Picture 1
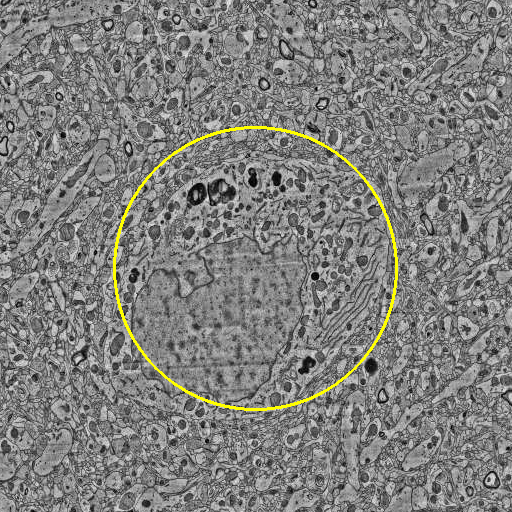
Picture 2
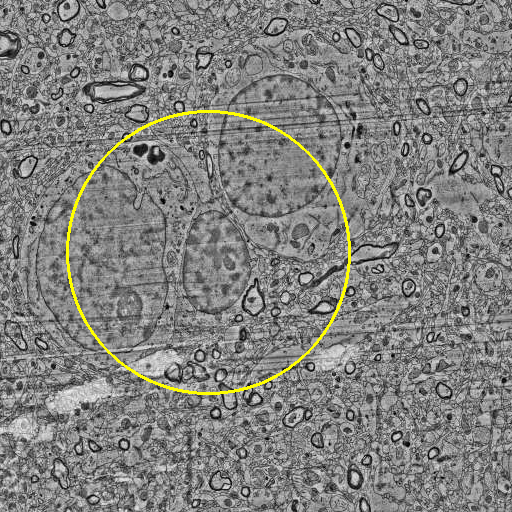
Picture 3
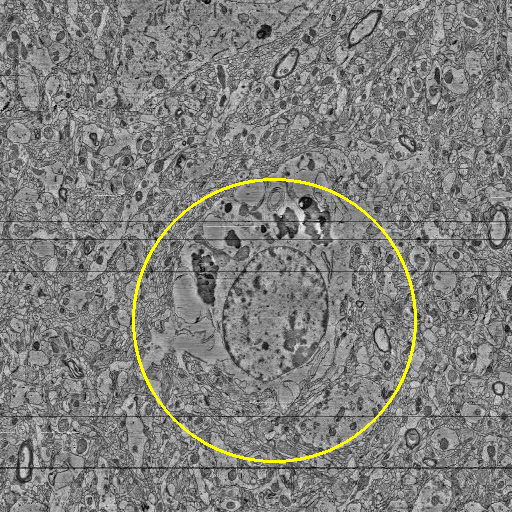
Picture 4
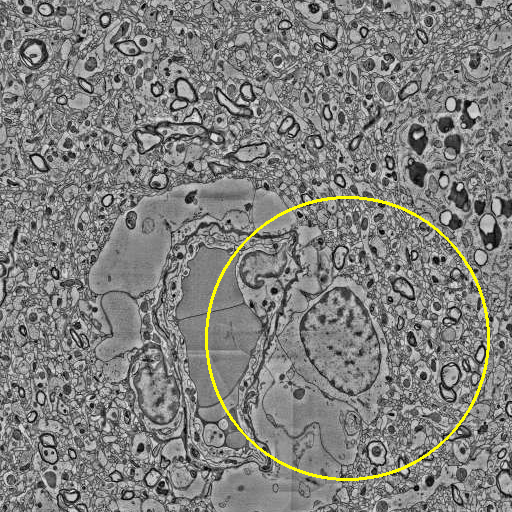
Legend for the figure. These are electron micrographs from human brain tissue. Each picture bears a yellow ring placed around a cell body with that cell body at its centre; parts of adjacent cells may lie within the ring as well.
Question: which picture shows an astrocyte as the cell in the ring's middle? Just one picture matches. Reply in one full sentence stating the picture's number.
It is picture 3 whose yellow ring is centred on the requested cell.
